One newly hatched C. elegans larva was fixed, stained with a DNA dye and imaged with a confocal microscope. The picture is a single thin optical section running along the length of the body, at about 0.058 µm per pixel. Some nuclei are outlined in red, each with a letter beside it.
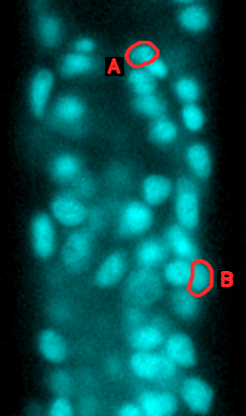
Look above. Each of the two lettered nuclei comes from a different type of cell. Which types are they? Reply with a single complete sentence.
A is from a valve cell of the gut, and B is from a neuron.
